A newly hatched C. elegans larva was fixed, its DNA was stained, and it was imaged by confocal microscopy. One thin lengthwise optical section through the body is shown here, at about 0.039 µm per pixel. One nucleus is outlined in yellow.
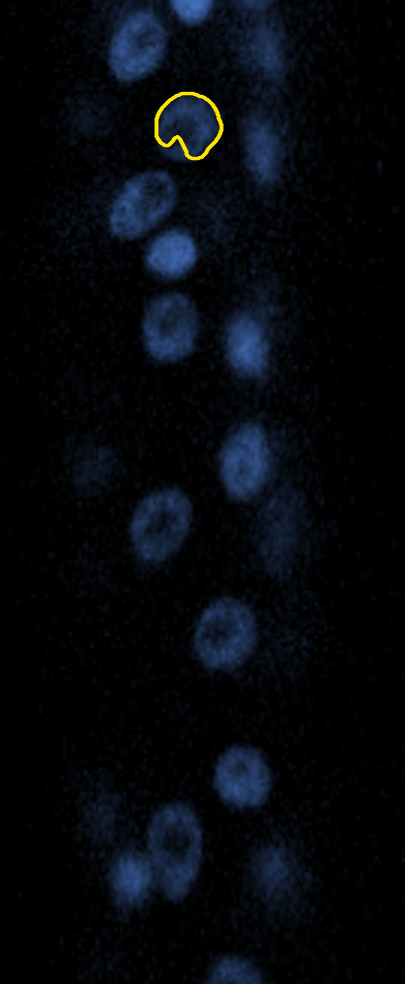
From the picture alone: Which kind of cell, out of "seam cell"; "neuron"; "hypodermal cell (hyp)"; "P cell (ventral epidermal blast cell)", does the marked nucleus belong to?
hypodermal cell (hyp)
